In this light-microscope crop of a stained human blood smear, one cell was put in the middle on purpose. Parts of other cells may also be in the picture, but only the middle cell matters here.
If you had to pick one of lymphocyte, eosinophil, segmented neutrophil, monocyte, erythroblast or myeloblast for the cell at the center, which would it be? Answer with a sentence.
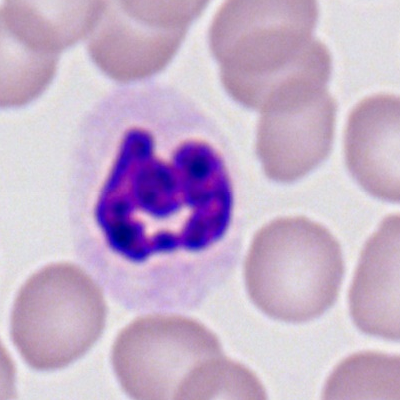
To answer, the cell in the center of the crop is a segmented neutrophil.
